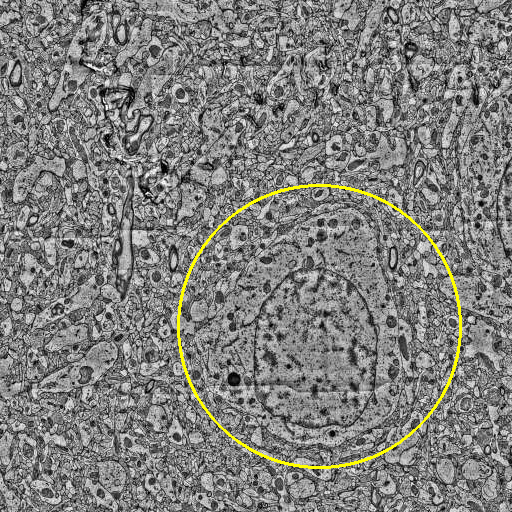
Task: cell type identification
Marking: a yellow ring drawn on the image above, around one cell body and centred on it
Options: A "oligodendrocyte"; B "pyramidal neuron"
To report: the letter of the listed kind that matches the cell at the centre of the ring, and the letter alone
B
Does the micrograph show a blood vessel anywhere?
No, there is no blood vessel.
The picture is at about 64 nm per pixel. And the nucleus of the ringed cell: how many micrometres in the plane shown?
The nucleus works out at approximately 10 by 8 micrometres in this plane.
